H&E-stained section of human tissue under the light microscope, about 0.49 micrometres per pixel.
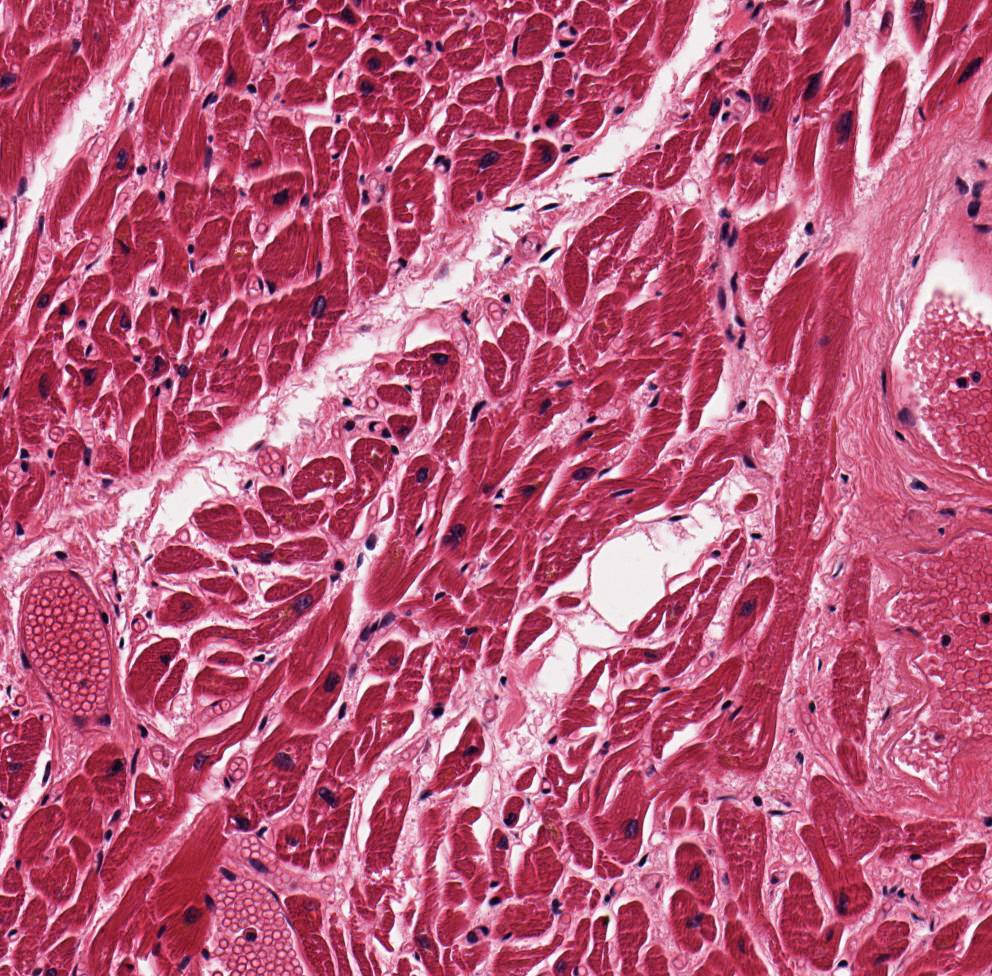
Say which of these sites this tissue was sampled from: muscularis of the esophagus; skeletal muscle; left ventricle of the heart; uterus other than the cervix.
left ventricle of the heart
